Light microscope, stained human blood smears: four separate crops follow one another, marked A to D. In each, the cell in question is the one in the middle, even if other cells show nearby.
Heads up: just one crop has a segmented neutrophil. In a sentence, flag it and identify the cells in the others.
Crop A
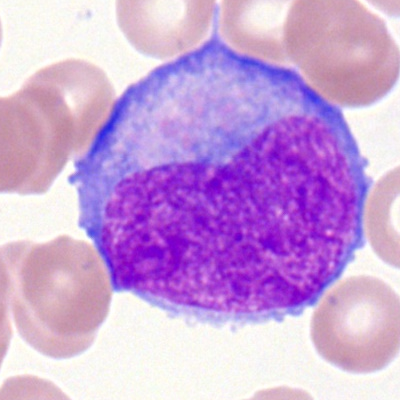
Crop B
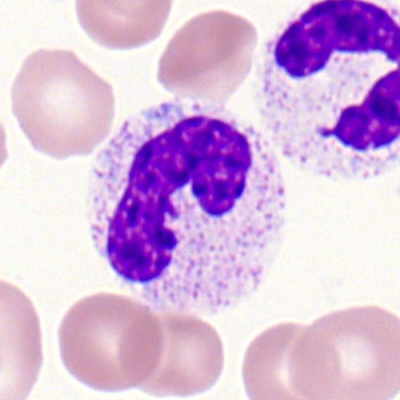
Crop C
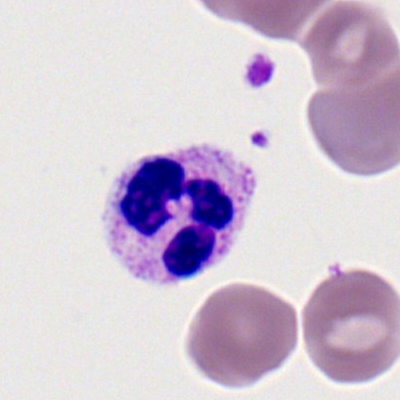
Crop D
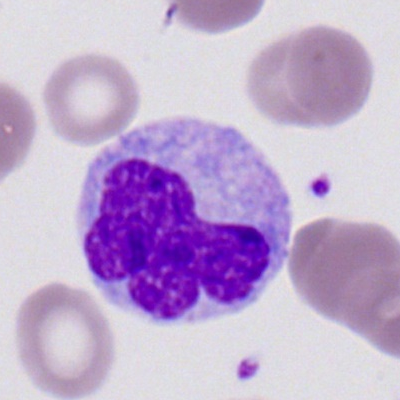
The cell centred in crop C is a segmented neutrophil; by contrast, crop A is a myeloblast, crop B is a band neutrophil and crop D is a monocyte.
